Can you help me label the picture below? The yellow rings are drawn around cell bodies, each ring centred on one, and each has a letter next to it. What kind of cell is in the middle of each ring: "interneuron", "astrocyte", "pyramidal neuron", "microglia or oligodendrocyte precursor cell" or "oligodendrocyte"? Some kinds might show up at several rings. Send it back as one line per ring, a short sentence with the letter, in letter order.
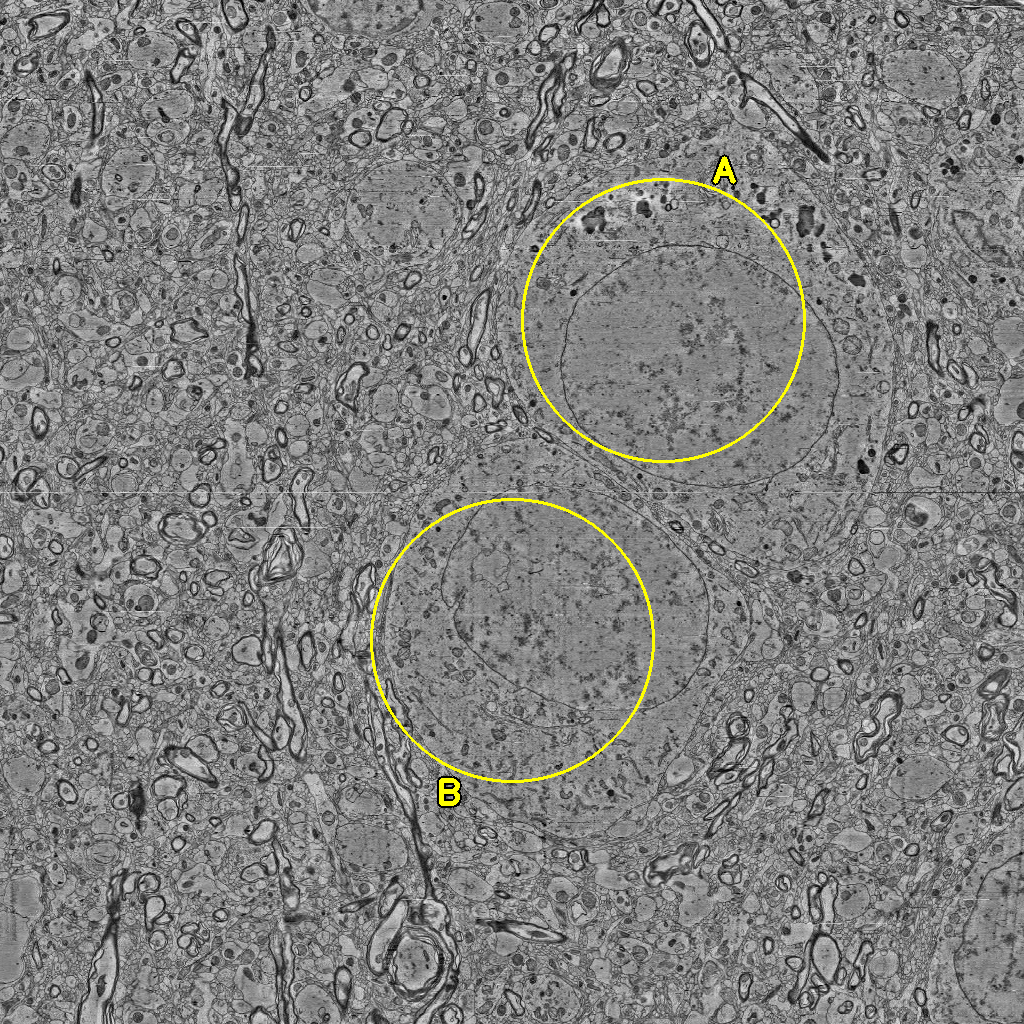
Ring A has a pyramidal neuron in the middle.
Ring B has a pyramidal neuron in the middle.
